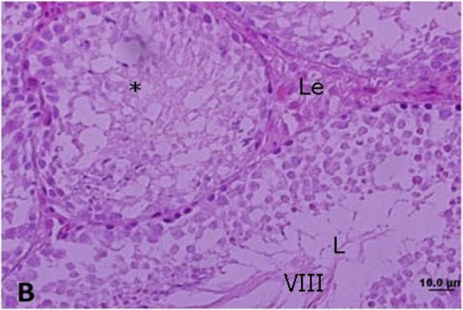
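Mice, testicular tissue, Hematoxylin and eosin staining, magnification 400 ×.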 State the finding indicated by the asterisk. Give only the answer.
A: Organization of spermatogenesis was altered.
